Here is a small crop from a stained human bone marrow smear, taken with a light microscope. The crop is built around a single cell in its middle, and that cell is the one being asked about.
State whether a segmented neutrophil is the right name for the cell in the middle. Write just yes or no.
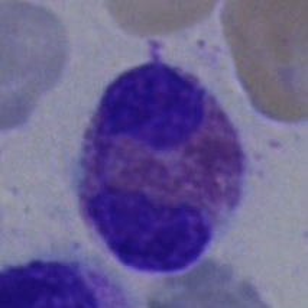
no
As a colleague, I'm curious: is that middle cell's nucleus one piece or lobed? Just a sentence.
This cell has a nucleus made up of two or more segments.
